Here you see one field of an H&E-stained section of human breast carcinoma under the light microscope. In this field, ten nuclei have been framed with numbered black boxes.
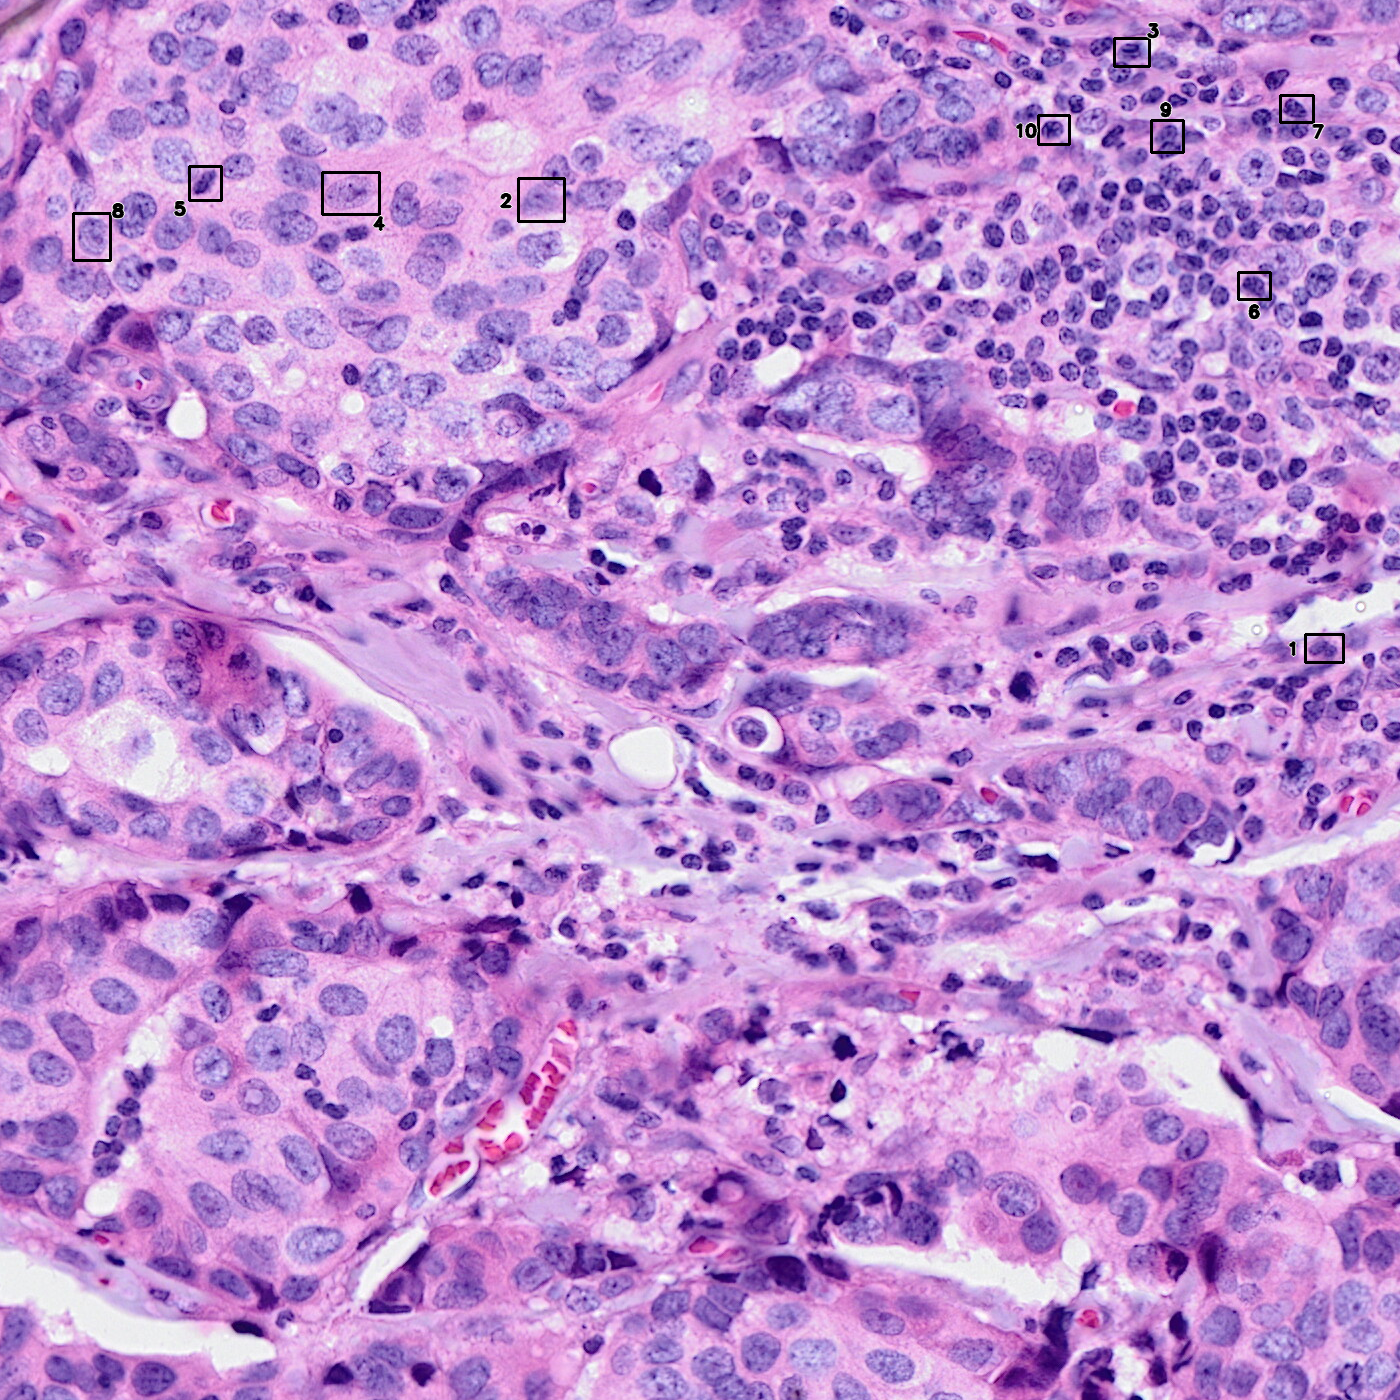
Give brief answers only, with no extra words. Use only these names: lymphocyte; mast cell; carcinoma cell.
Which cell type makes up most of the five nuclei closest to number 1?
lymphocyte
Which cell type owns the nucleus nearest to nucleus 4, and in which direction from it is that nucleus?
a lymphocyte below nucleus 4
